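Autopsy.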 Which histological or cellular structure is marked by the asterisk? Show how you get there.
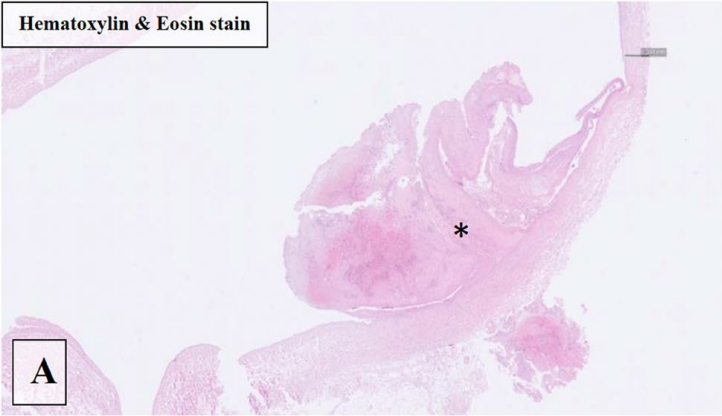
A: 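Thrombus. A large pink, partly layered mass sits on one side of a vessel wall. The mass is attached to the wall along its base. The mass contains darker red-pink zones.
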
